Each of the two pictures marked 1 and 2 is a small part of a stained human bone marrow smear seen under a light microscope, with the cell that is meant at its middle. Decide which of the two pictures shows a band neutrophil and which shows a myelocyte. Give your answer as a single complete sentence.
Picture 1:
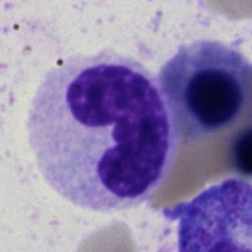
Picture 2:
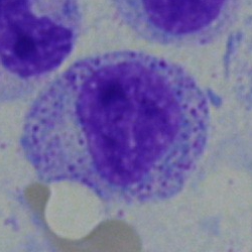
The cell in picture 1 is a band neutrophil, and the one in picture 2 is a myelocyte.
